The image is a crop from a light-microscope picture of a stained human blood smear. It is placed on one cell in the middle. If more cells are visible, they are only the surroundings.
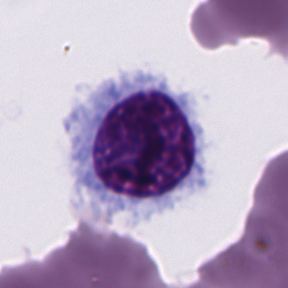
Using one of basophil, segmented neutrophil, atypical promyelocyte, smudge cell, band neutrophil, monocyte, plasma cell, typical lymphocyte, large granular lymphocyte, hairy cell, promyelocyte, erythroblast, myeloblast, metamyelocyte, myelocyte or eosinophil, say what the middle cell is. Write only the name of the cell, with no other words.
hairy cell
